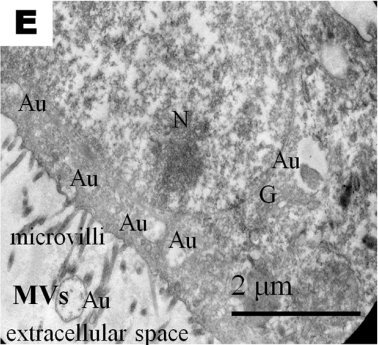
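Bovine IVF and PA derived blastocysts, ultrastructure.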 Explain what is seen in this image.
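Several small autophagosomes sit in the cytoplasm just beneath that surface. Deeper in, a nucleus with a dense, granular region can be seen.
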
